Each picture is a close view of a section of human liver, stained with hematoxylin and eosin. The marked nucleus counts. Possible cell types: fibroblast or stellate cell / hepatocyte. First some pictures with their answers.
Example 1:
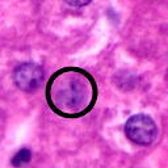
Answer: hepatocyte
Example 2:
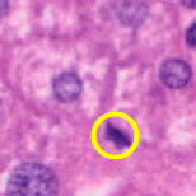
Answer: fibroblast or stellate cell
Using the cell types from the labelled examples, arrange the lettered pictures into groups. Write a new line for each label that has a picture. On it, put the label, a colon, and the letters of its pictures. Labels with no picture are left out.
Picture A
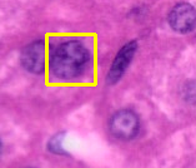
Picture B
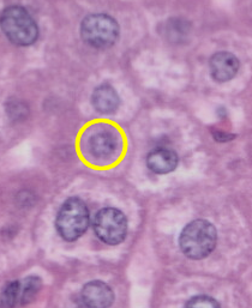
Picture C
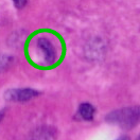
fibroblast or stellate cell: C
hepatocyte: A, B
